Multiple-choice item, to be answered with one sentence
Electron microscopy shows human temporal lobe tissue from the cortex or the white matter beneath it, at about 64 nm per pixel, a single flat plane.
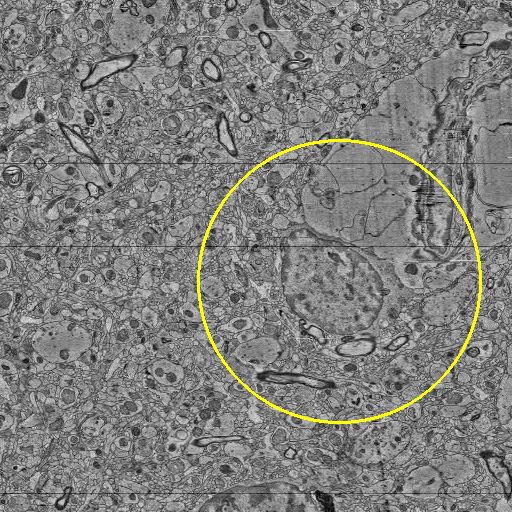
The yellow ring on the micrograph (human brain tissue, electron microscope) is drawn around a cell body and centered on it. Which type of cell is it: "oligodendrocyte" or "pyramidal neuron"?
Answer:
The ring is centered on an oligodendrocyte.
